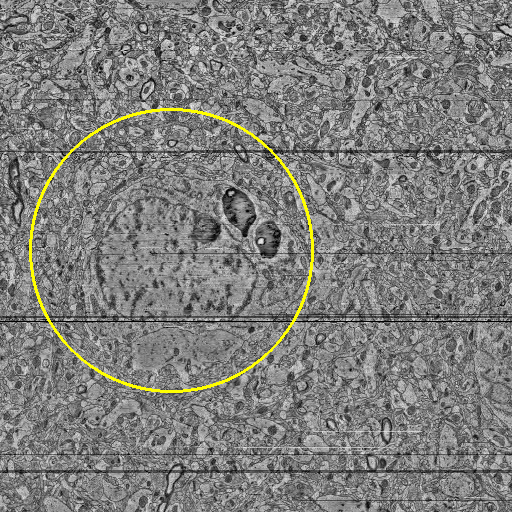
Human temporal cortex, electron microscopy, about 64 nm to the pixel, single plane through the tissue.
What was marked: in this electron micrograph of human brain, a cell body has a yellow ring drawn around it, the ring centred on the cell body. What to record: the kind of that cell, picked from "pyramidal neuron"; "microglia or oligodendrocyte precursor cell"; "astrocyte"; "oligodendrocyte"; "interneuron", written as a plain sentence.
The centred cell is an interneuron.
